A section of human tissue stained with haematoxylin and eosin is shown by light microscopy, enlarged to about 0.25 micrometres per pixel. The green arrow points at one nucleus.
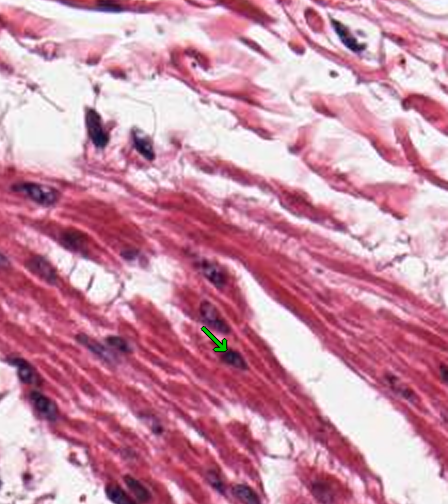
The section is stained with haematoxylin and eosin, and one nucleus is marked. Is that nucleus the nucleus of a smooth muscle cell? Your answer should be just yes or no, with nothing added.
yes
